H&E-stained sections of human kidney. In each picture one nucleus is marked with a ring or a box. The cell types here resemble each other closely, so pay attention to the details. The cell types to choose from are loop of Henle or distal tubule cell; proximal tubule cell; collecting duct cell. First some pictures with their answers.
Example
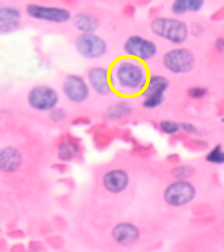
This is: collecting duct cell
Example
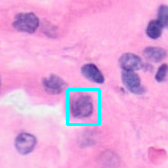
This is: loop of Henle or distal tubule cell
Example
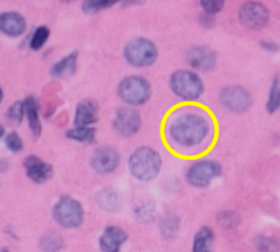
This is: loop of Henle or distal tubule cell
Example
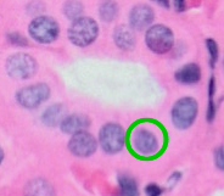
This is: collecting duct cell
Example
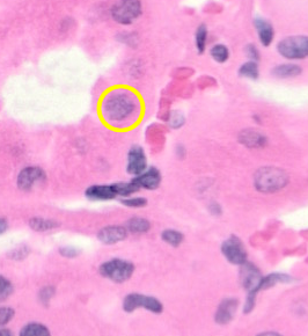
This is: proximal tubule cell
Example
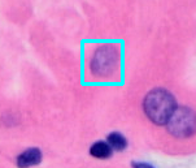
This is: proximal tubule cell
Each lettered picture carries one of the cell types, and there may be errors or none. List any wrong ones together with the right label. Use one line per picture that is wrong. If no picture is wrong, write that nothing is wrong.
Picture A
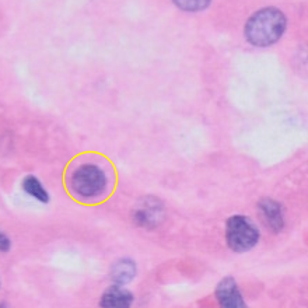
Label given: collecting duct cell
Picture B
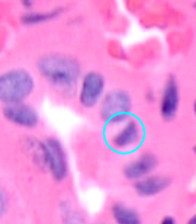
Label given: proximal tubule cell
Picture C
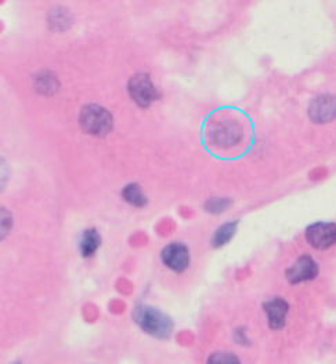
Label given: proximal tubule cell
A should be proximal tubule cell, not collecting duct cell
B should be collecting duct cell, not proximal tubule cell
